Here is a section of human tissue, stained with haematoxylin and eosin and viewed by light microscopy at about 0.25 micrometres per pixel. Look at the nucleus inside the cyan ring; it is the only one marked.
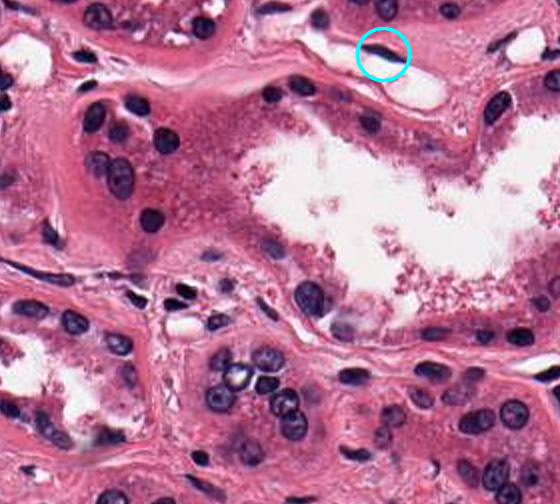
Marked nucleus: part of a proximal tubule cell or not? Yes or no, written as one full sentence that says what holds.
No, the marked nucleus is to be assigned to a supporting cell, not to a proximal tubule cell.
